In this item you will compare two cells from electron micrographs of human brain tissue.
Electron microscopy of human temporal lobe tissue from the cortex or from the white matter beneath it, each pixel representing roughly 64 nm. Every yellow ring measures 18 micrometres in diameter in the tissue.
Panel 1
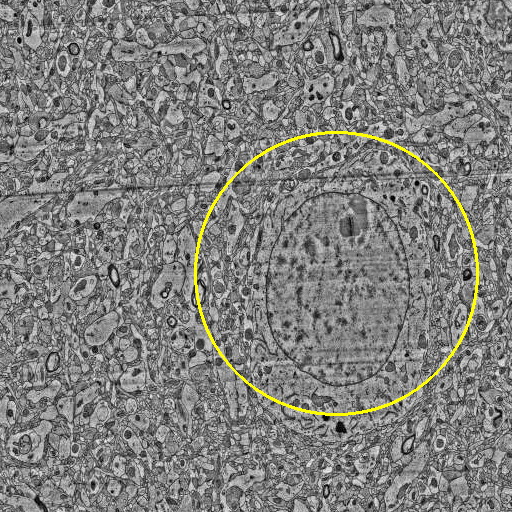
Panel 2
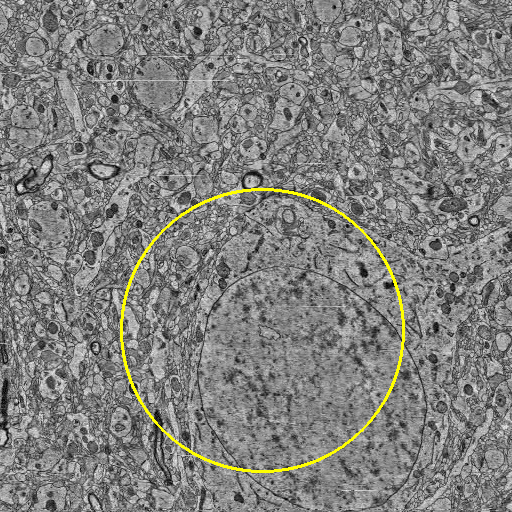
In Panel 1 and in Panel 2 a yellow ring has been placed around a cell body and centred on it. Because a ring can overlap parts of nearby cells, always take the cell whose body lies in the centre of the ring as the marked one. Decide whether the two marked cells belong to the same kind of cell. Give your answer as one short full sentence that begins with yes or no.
Yes, the two marked cells belong to the same kind of cell.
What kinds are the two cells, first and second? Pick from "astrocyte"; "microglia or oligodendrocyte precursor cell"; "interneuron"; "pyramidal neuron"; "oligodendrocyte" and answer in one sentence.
The cell in the first picture is a pyramidal neuron, and so is the one in the second.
